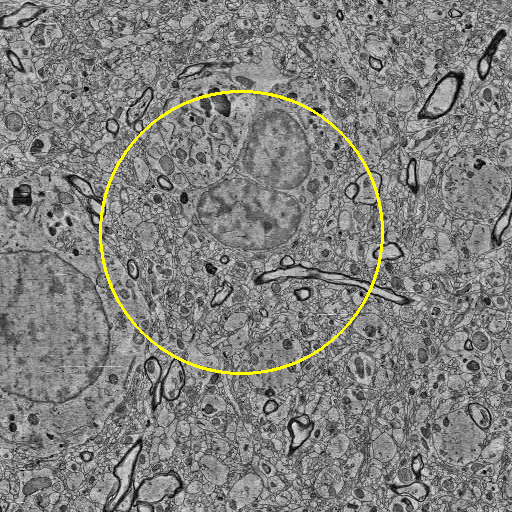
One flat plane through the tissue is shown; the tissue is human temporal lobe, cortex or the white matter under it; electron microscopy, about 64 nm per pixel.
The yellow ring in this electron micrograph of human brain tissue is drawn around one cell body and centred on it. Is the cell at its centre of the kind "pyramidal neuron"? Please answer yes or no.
no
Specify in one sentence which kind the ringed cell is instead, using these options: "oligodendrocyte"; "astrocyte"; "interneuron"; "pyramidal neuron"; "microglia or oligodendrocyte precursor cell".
The cell that the ring is centred on is an oligodendrocyte.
